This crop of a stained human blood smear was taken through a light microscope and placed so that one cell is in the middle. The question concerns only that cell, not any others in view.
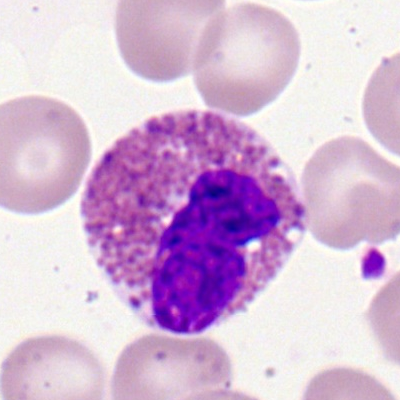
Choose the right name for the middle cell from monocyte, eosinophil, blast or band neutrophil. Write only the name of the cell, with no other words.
eosinophil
